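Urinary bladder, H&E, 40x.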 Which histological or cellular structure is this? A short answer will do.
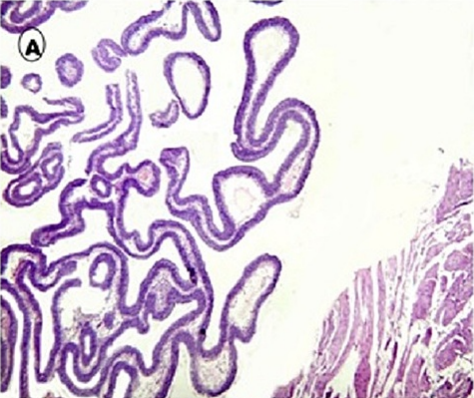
Discrete papillary structures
